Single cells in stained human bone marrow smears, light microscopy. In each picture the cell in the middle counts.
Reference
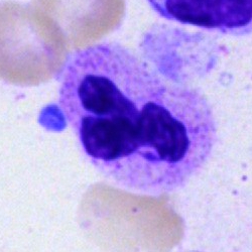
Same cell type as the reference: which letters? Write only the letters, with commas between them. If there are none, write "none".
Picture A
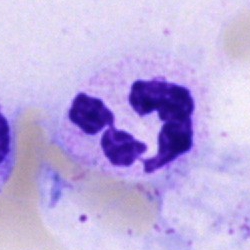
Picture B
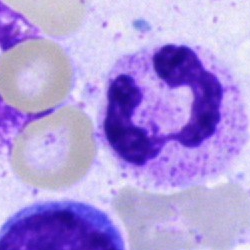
A, B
